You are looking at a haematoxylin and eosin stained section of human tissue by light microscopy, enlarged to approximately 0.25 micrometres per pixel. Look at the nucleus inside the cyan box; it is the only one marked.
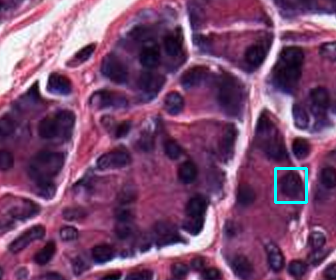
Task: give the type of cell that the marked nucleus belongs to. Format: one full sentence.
To a pancreatic acinar cell belongs the marked nucleus.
